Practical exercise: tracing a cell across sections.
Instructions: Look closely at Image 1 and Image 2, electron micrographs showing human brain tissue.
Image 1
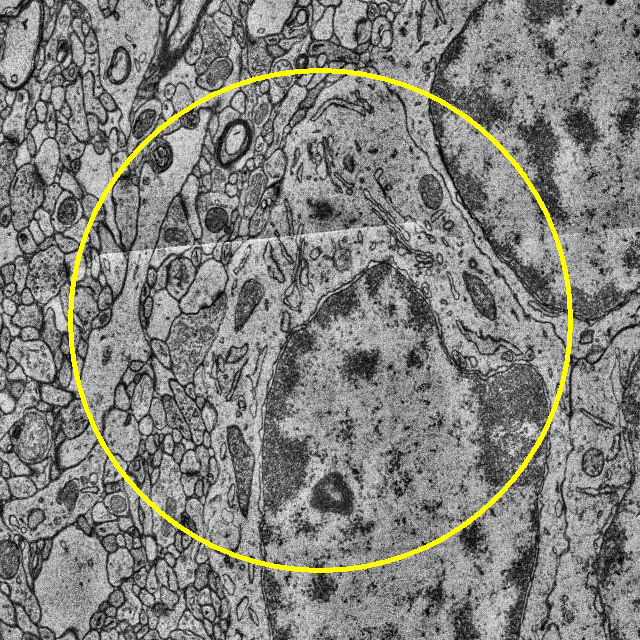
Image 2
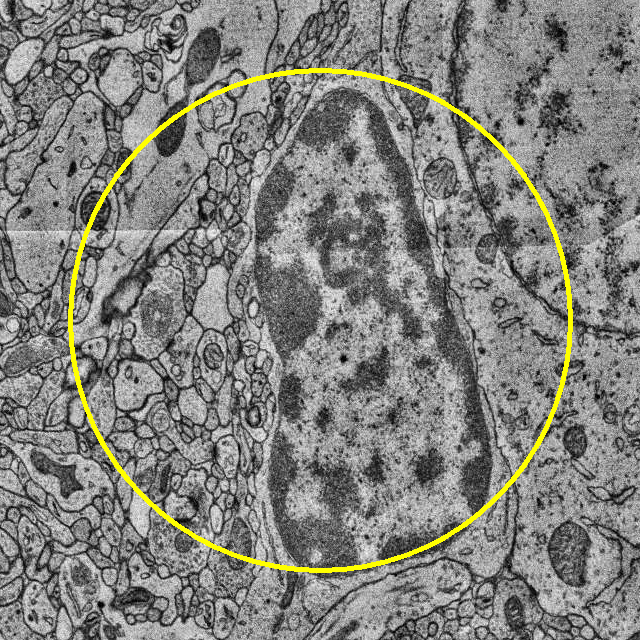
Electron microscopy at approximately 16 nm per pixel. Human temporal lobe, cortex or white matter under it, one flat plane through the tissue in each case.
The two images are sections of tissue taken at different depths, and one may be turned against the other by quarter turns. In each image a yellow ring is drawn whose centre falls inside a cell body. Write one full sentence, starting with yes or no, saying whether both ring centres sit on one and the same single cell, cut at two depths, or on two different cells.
No, it is two different cells that the rings mark.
